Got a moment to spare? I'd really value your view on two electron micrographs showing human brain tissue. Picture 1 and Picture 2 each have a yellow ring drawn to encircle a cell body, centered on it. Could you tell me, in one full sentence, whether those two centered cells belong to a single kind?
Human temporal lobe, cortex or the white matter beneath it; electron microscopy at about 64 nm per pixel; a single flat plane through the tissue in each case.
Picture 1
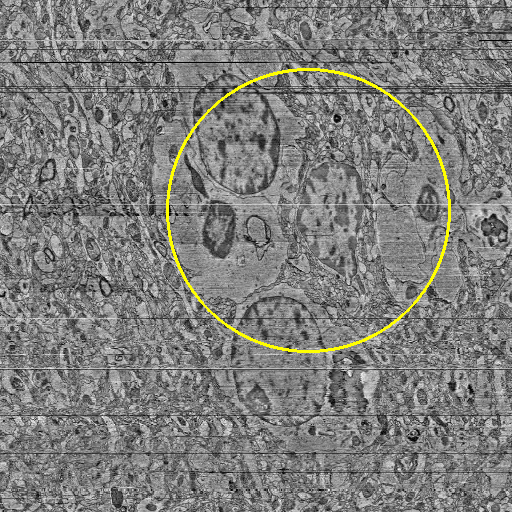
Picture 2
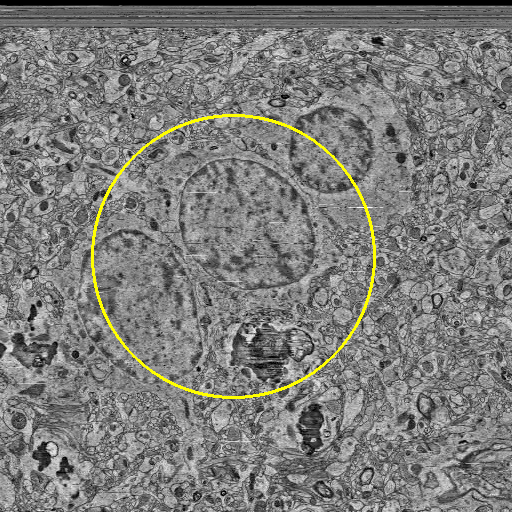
No, the two centered cells in Picture 1 and Picture 2 are of two kinds.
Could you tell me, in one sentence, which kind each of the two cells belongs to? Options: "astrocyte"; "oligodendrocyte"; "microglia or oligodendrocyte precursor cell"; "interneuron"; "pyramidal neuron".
At the centre of the first ring sits a microglial cell or oligodendrocyte precursor cell, and at the centre of the second sits an astrocyte.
